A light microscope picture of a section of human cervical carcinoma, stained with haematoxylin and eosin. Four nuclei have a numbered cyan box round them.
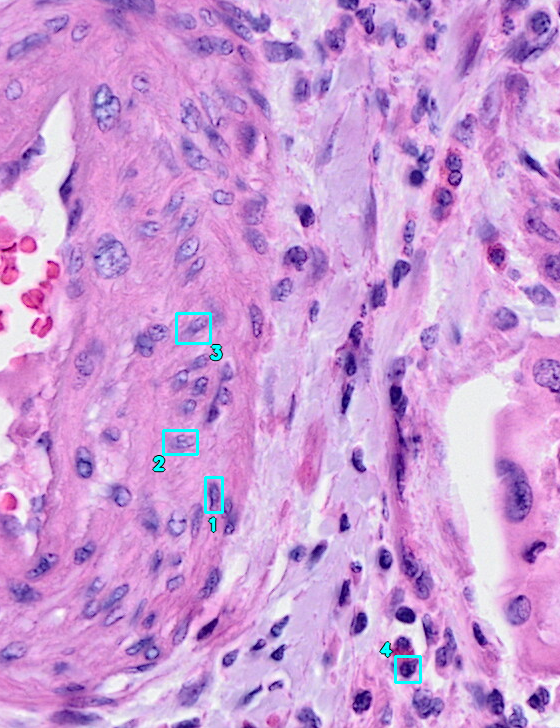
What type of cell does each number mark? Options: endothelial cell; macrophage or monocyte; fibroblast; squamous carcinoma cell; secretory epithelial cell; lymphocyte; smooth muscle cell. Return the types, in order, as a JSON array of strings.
["smooth muscle cell", "smooth muscle cell", "smooth muscle cell", "lymphocyte"]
